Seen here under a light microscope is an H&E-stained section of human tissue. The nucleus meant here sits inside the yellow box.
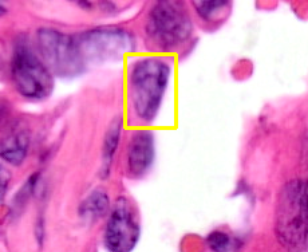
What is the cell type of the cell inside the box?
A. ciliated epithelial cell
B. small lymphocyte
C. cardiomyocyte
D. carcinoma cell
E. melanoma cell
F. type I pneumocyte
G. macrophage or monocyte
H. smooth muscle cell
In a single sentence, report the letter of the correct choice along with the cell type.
Exactly as option D gives it, the cell inside the box is a carcinoma cell.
